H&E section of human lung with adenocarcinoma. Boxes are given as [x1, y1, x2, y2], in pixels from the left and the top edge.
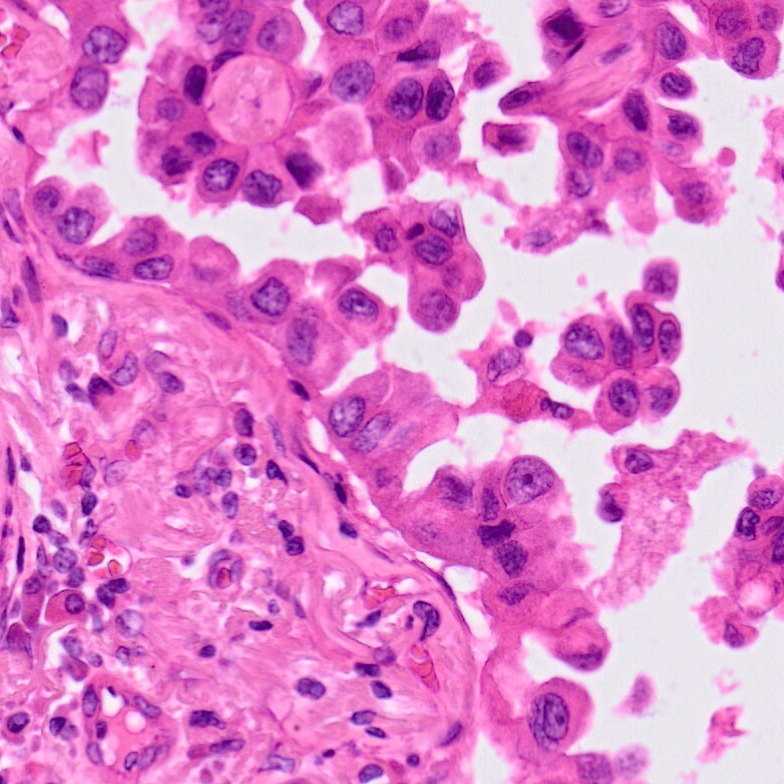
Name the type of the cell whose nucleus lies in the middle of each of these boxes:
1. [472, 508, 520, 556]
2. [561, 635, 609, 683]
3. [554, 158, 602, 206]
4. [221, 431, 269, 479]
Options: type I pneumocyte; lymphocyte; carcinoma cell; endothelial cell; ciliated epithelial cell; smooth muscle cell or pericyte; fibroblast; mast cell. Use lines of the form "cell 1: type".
cell 1: carcinoma cell
cell 2: carcinoma cell
cell 3: carcinoma cell
cell 4: lymphocyte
